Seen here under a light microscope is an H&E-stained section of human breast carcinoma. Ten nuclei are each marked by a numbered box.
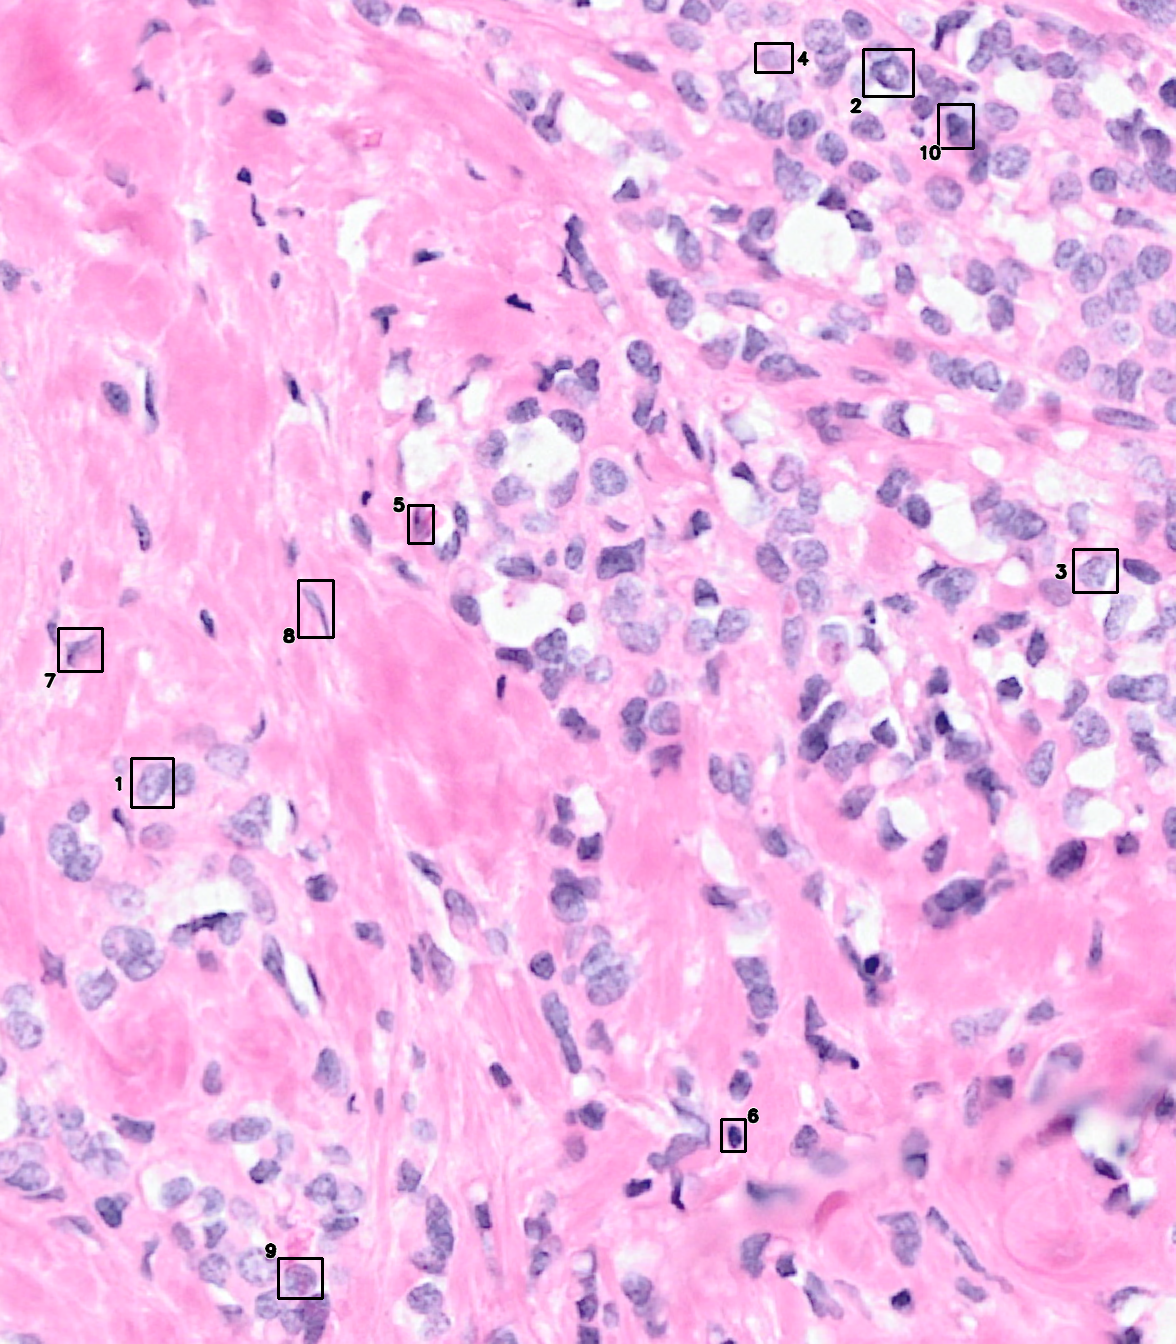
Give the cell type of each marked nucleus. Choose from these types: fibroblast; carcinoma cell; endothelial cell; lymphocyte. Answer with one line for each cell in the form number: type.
1: carcinoma cell
2: carcinoma cell
3: carcinoma cell
4: carcinoma cell
5: endothelial cell
6: lymphocyte
7: fibroblast
8: fibroblast
9: carcinoma cell
10: carcinoma cell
